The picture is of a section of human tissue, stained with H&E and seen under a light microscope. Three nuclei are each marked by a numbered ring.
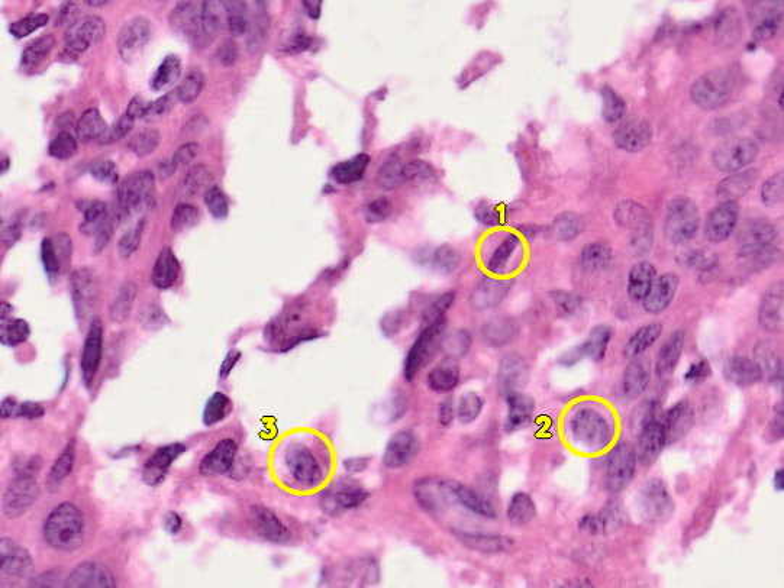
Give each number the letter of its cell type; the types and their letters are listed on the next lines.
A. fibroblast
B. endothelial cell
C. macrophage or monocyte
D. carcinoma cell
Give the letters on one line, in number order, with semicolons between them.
B; C; C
